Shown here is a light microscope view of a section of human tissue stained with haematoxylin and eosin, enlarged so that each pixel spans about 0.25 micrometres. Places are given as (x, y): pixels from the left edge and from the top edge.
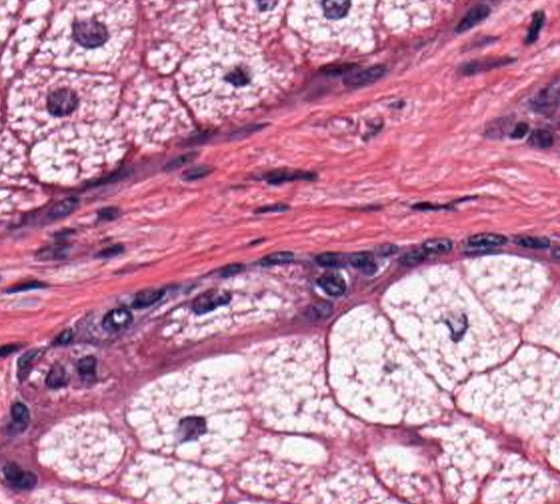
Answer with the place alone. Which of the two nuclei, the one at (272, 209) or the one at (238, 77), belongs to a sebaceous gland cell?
(238, 77)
